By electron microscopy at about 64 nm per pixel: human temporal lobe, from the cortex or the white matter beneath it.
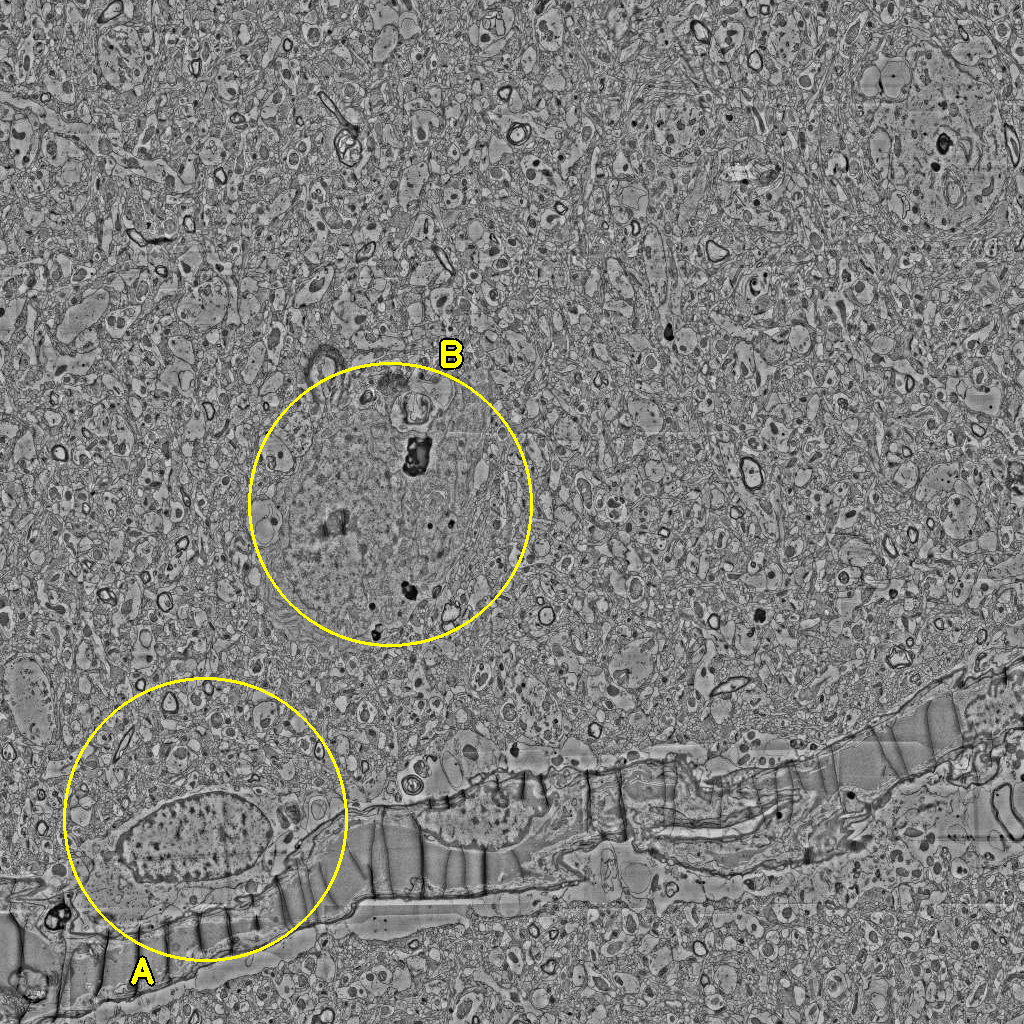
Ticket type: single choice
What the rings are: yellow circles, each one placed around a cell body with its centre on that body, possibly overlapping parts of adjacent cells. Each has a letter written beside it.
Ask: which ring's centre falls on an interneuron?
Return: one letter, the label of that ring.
B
